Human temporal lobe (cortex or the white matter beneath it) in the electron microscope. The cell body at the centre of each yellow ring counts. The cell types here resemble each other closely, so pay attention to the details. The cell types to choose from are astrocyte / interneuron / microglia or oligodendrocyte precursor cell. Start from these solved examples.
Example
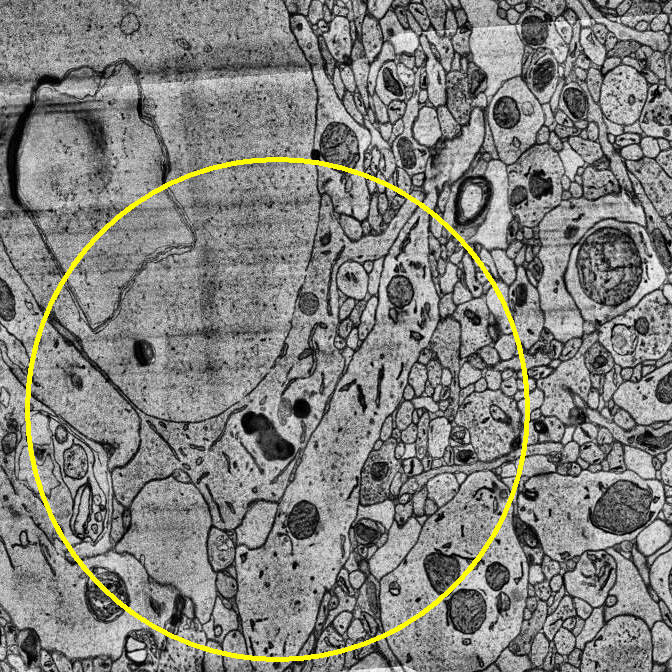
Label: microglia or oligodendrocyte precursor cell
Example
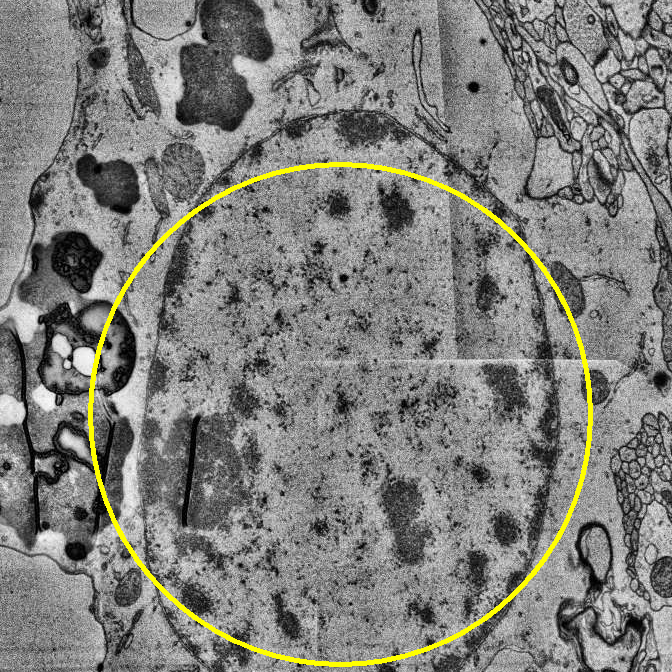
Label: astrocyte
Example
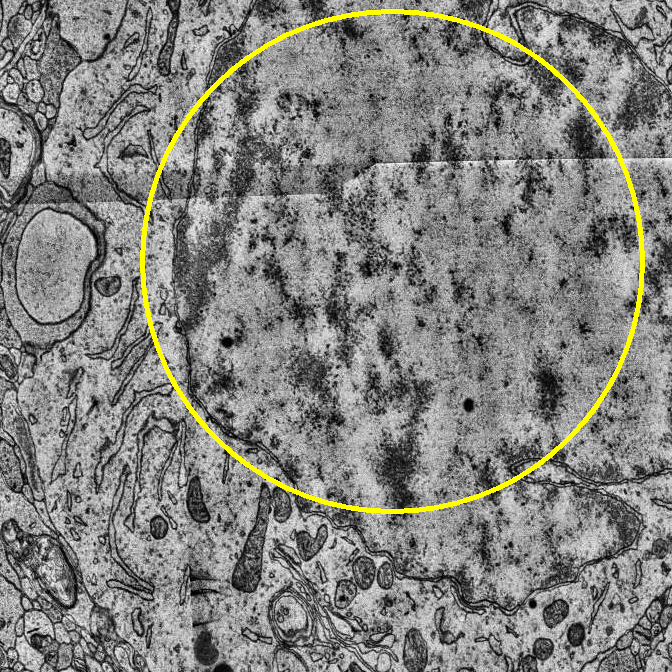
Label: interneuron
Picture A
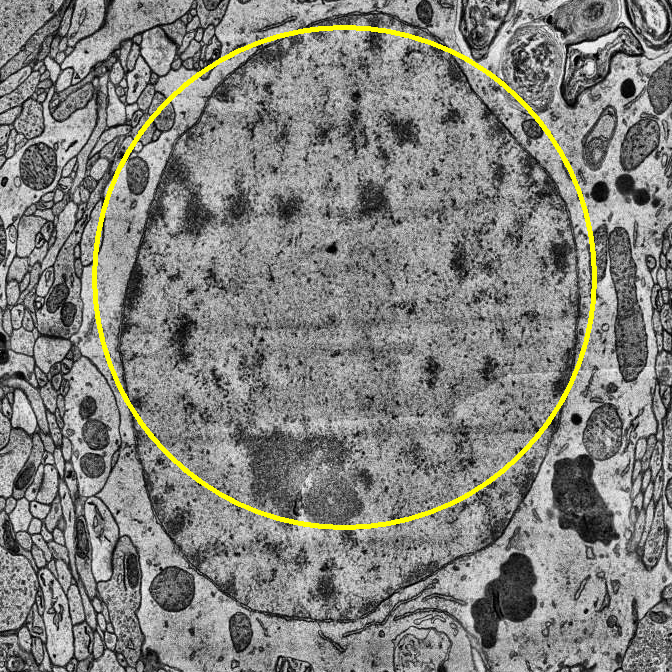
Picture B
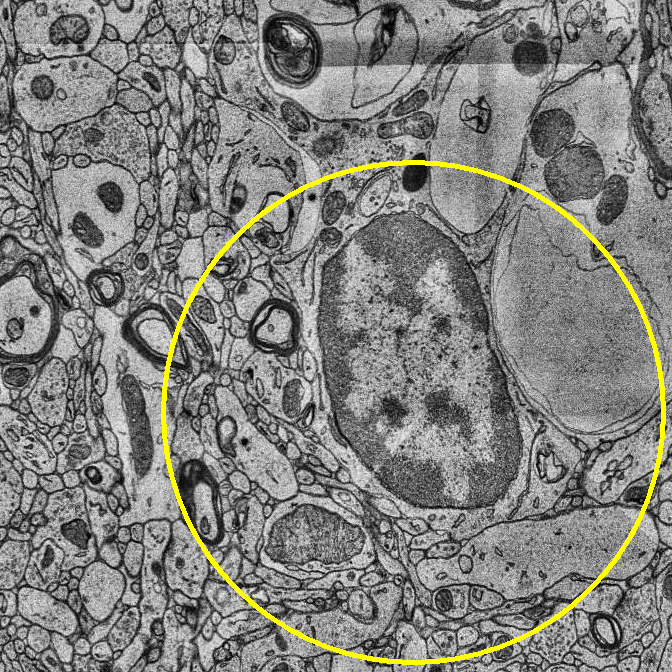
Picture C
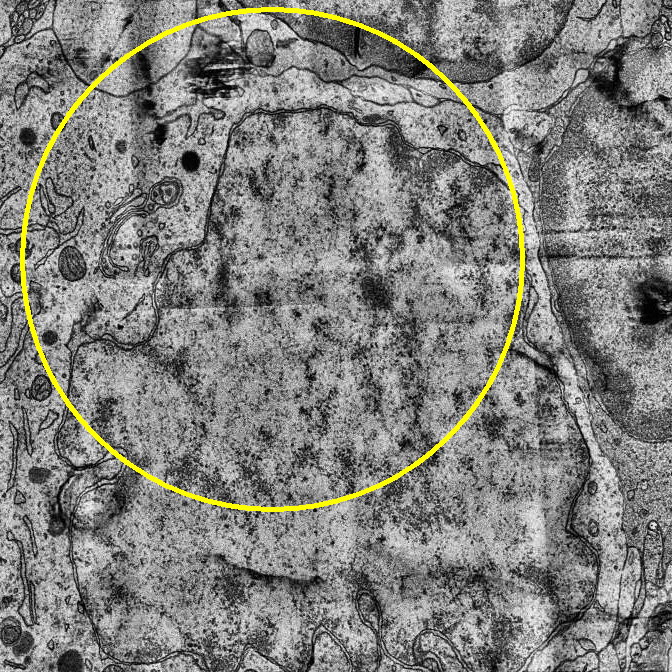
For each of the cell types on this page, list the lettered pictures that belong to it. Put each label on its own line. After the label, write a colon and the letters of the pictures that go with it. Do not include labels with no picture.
astrocyte: A
interneuron: C
microglia or oligodendrocyte precursor cell: B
